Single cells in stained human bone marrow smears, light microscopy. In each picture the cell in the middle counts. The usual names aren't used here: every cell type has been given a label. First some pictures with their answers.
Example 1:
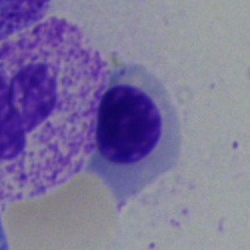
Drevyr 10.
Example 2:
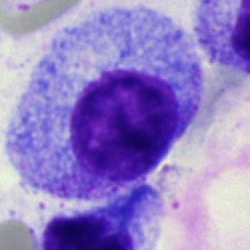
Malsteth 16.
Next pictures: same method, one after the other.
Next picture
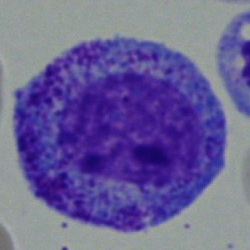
Malsteth 16.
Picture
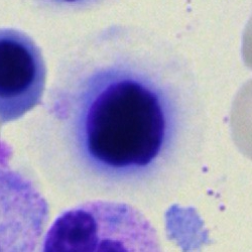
Drevyr 10.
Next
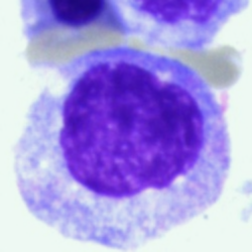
Malsteth 16.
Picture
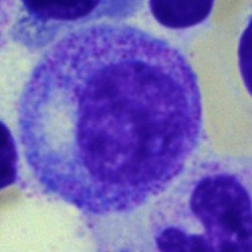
Malsteth 16.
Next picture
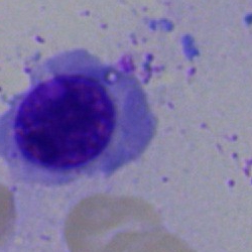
Drevyr 10.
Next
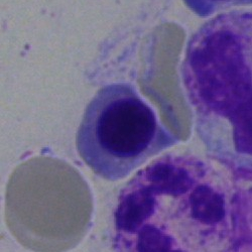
Drevyr 10.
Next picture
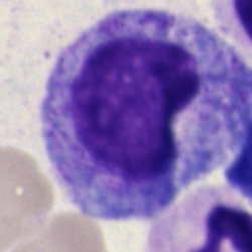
Malsteth 16.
